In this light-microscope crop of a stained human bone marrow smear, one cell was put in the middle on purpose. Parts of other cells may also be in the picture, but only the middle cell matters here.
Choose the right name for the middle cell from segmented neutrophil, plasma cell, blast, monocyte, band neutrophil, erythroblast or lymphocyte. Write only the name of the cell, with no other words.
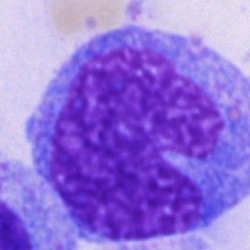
monocyte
